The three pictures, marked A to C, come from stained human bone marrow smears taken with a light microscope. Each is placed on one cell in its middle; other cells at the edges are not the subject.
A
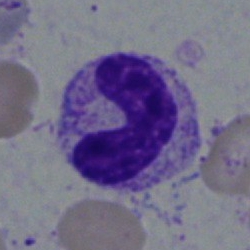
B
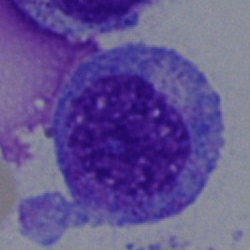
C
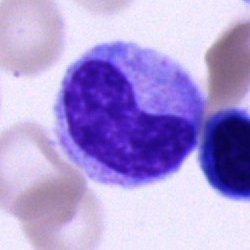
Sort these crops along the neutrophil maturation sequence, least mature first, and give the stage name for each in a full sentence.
When lined up from least to most mature, the crops are crop B (a promyelocyte), crop C (a metamyelocyte) and crop A (a band neutrophil).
